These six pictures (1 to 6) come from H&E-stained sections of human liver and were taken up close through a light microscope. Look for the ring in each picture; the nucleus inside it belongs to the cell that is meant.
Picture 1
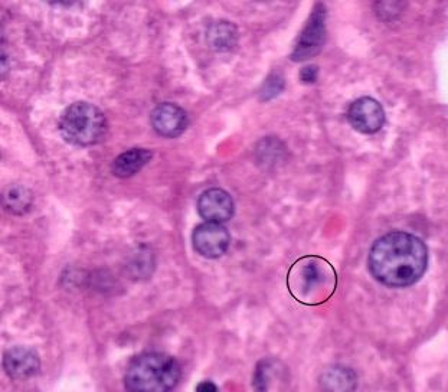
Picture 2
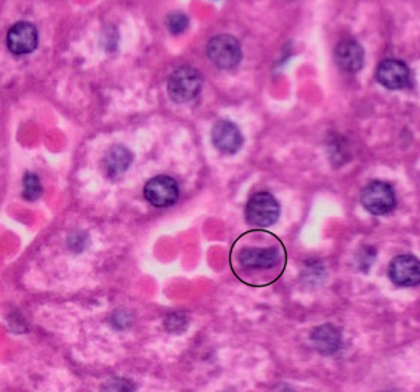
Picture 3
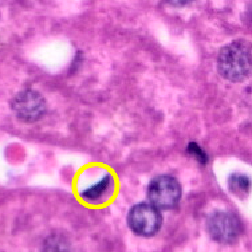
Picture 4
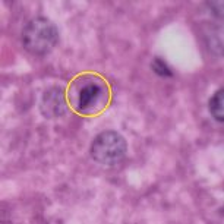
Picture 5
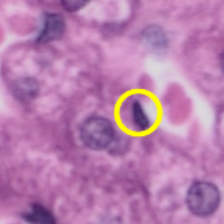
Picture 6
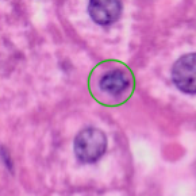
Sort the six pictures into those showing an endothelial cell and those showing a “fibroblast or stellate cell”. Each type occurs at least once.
1: endothelial cell
2: fibroblast or stellate cell
3: endothelial cell
4: fibroblast or stellate cell
5: fibroblast or stellate cell
6: fibroblast or stellate cell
